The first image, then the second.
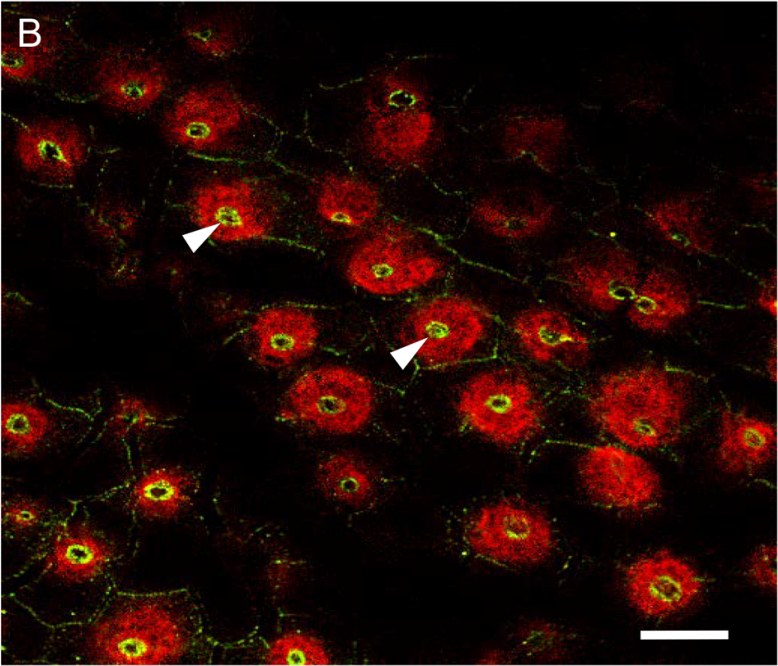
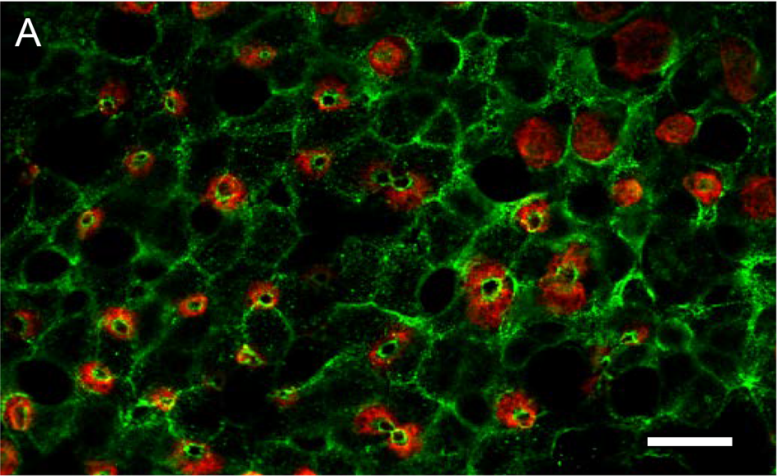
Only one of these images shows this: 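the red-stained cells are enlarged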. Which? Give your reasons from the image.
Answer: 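First image: red cells are large and broad, at similar scale bar length. Second image: red cells are smaller, many no wider than the surrounding cell outlines.
Conclusion: the first image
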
